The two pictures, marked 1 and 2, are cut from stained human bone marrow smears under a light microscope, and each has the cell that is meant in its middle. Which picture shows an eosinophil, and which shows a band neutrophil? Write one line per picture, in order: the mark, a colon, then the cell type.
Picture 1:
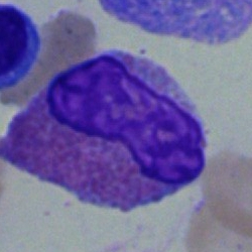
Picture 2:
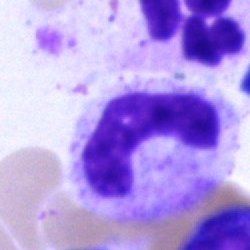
1: eosinophil
2: band neutrophil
